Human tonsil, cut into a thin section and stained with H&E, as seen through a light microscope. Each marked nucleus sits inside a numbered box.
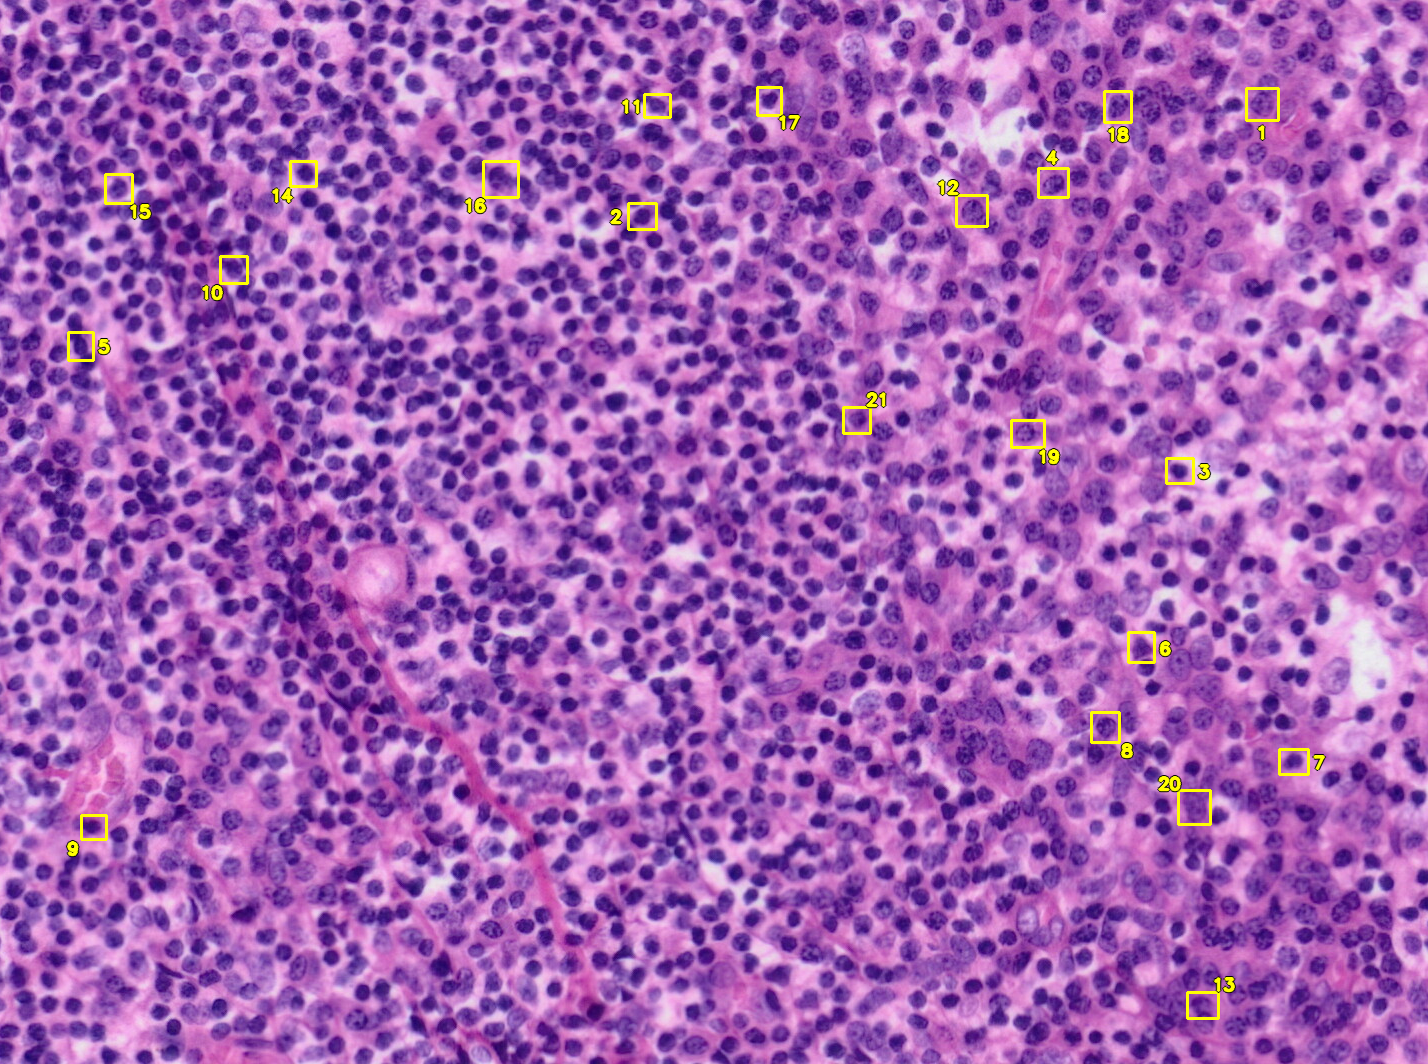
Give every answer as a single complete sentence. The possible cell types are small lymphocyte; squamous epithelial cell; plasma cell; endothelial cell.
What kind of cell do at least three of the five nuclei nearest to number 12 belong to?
Most of the five nuclei nearest to number 12 are those of squamous epithelial cells.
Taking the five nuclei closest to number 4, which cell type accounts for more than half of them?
The majority of the five nuclei closest to number 4 belong to plasma cells.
